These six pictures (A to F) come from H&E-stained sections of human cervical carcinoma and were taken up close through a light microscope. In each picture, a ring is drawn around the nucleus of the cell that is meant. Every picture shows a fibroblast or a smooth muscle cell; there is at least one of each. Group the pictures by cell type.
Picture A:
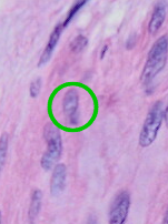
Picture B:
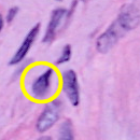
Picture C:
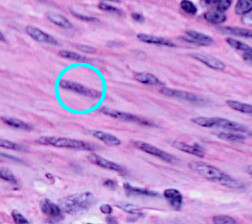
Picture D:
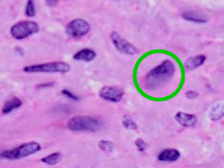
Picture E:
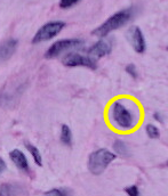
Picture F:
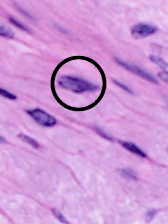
A: smooth muscle cell
B: fibroblast
C: smooth muscle cell
D: fibroblast
E: fibroblast
F: fibroblast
